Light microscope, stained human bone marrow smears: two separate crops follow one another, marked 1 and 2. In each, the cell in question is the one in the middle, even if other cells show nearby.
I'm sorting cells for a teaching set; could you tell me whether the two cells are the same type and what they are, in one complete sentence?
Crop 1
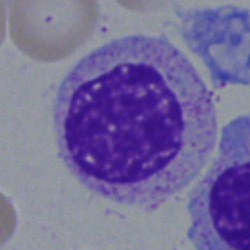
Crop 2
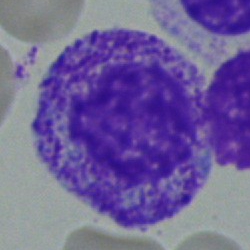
Yes, the two crops both show myelocytes.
